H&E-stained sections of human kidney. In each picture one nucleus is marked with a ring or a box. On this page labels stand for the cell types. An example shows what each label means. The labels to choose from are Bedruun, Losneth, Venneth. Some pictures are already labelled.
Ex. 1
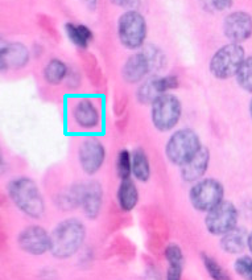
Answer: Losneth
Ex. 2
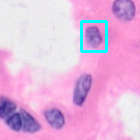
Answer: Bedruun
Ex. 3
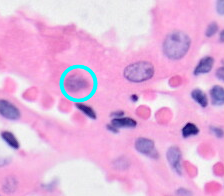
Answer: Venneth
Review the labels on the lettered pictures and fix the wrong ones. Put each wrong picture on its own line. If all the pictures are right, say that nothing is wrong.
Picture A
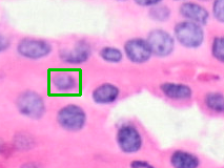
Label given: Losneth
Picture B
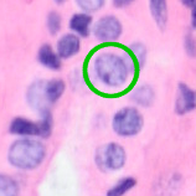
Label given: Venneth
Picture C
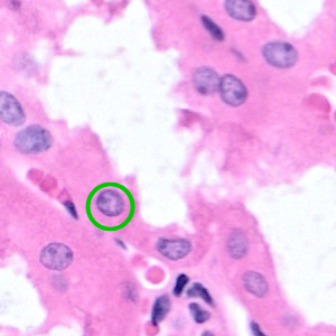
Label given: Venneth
A should be Bedruun, not Losneth
B should be Losneth, not Venneth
